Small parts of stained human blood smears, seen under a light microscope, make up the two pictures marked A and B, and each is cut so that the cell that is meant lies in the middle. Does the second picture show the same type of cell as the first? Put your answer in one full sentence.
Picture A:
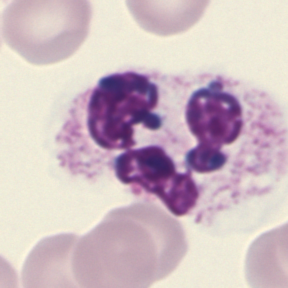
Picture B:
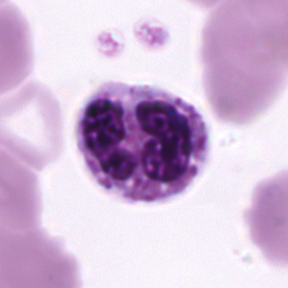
No, they differ: the cell is a segmented neutrophil in picture A and an eosinophil in picture B.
